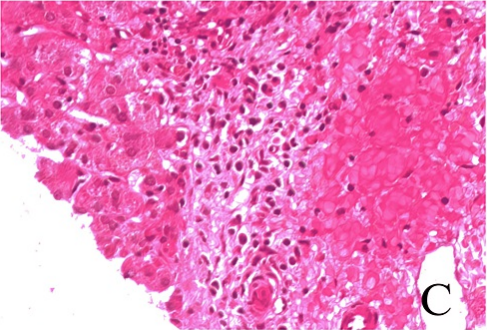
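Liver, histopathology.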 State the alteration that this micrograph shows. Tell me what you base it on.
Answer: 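A dense band of small round dark nuclei of inflammatory cells crosses the field. That points to this answer: Portal inflammation.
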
